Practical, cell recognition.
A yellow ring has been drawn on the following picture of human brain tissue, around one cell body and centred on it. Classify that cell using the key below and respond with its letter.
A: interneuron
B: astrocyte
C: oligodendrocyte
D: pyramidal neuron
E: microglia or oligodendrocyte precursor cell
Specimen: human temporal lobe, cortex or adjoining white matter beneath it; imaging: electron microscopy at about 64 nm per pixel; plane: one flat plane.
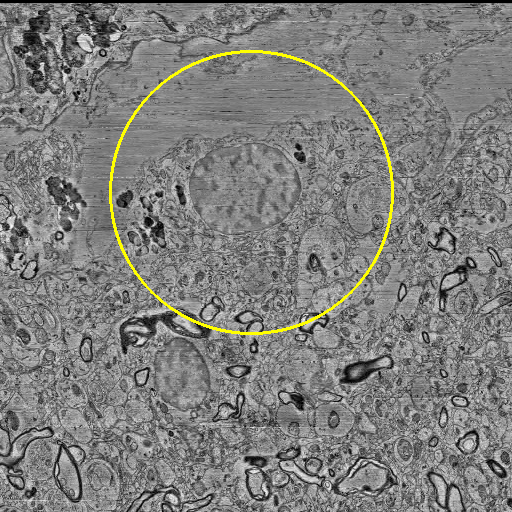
E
